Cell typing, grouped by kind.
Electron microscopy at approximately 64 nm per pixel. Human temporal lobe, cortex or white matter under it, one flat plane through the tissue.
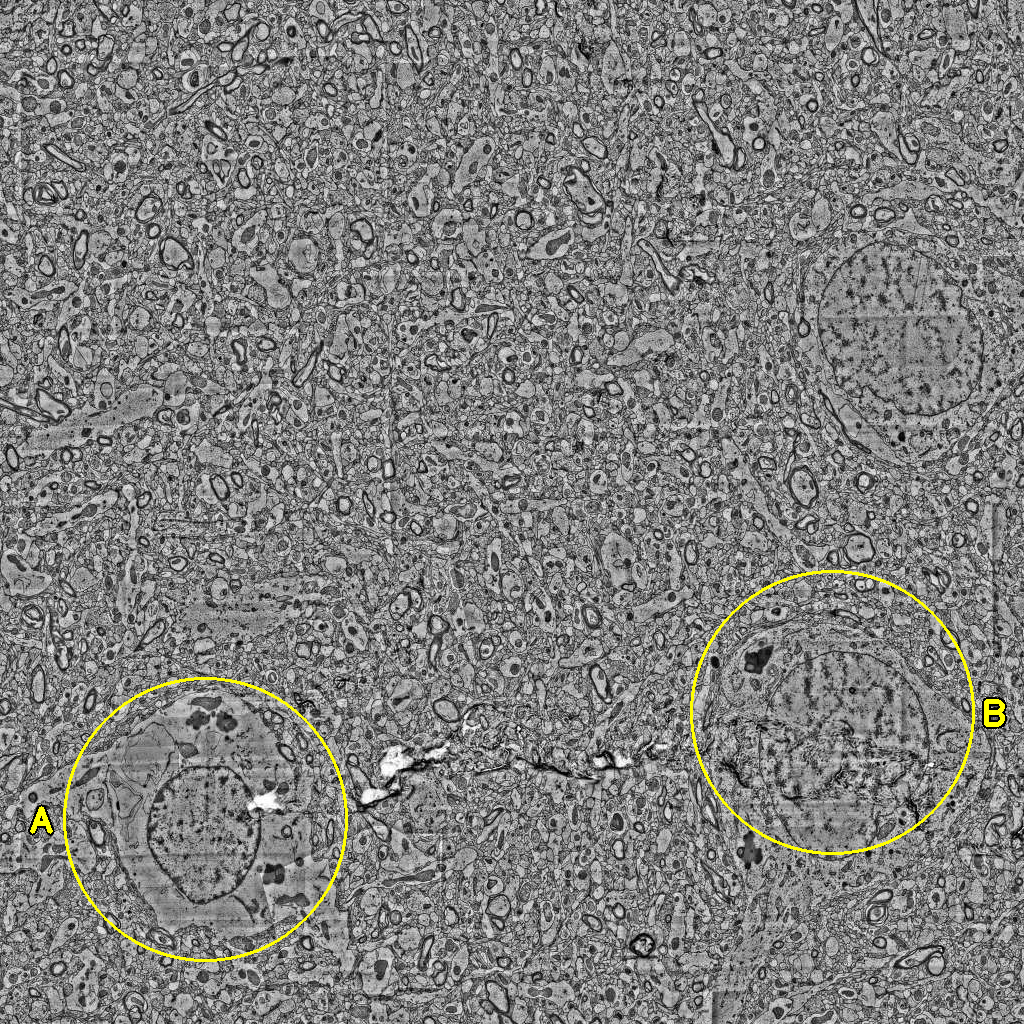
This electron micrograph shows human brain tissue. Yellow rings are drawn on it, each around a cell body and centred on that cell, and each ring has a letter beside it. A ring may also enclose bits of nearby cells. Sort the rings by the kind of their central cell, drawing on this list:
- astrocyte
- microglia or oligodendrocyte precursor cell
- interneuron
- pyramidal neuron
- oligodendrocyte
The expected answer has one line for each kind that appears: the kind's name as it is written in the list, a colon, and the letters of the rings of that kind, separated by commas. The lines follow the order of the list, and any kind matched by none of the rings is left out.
astrocyte: A
pyramidal neuron: B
